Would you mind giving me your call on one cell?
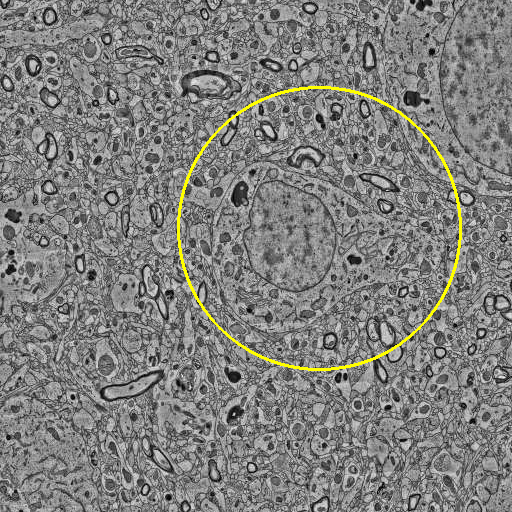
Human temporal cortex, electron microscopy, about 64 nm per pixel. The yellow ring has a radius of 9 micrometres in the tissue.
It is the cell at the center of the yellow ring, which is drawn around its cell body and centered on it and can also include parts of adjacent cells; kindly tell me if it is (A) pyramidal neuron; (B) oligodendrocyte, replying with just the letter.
A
